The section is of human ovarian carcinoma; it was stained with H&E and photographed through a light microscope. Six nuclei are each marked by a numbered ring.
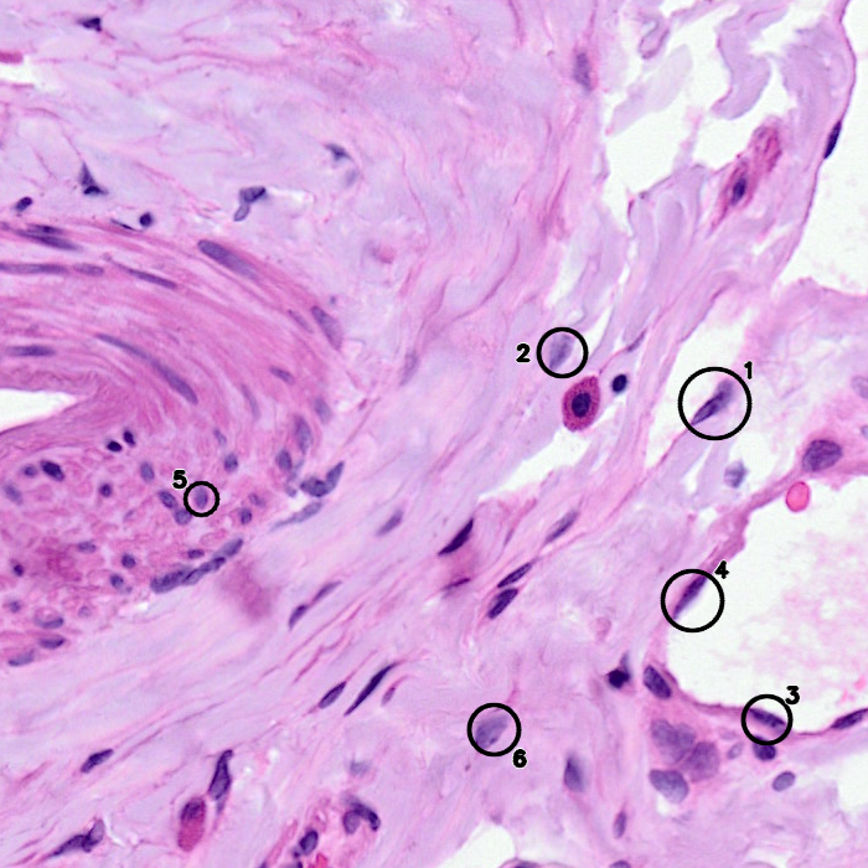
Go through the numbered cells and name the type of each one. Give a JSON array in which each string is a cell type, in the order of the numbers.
["endothelial cell", "fibroblast", "endothelial cell", "endothelial cell", "smooth muscle cell", "fibroblast"]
